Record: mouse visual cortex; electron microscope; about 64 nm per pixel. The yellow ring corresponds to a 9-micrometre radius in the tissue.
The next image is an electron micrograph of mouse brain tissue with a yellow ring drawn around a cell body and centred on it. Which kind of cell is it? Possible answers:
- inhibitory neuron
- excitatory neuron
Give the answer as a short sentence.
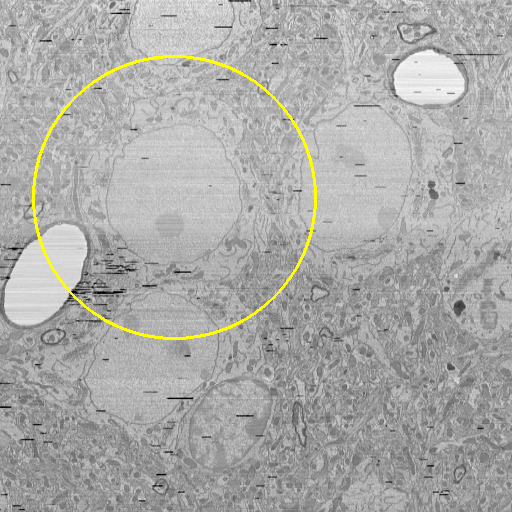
In the ring's centre is an excitatory neuron.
